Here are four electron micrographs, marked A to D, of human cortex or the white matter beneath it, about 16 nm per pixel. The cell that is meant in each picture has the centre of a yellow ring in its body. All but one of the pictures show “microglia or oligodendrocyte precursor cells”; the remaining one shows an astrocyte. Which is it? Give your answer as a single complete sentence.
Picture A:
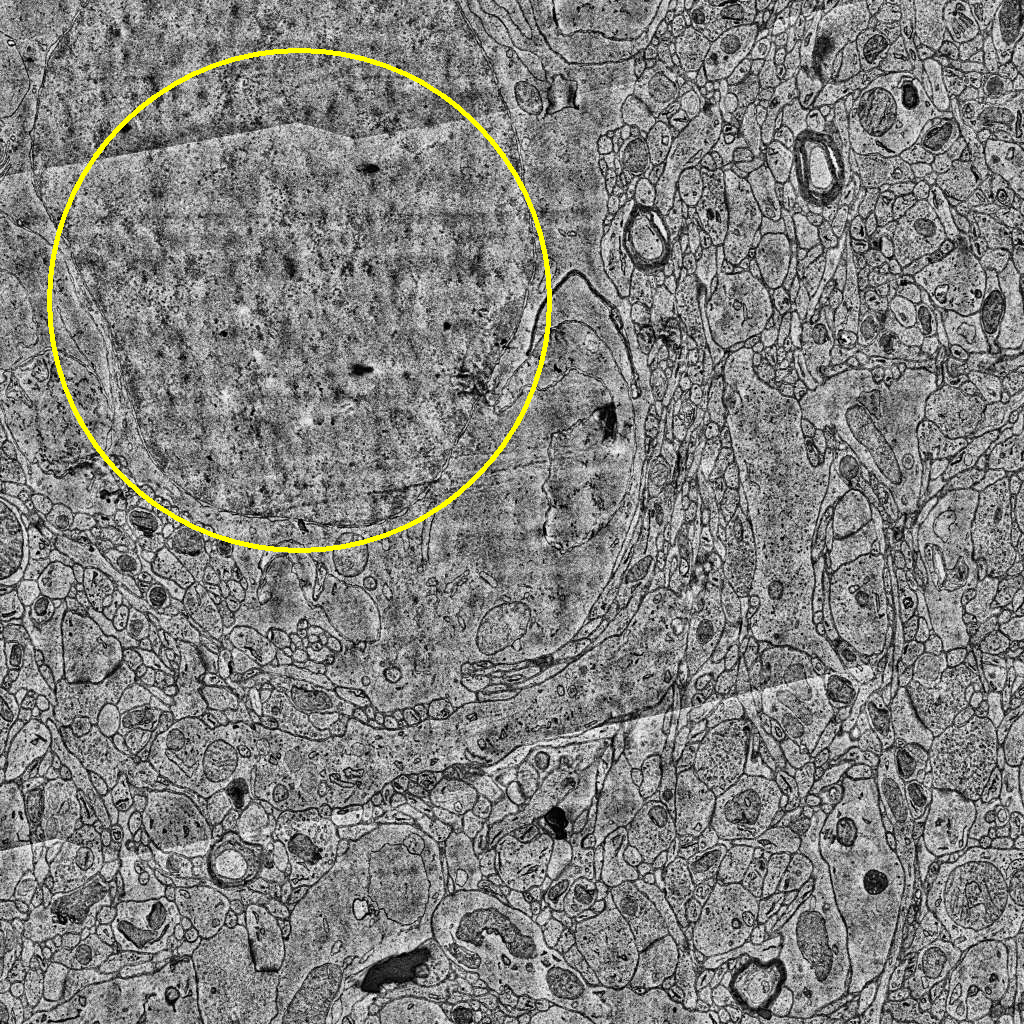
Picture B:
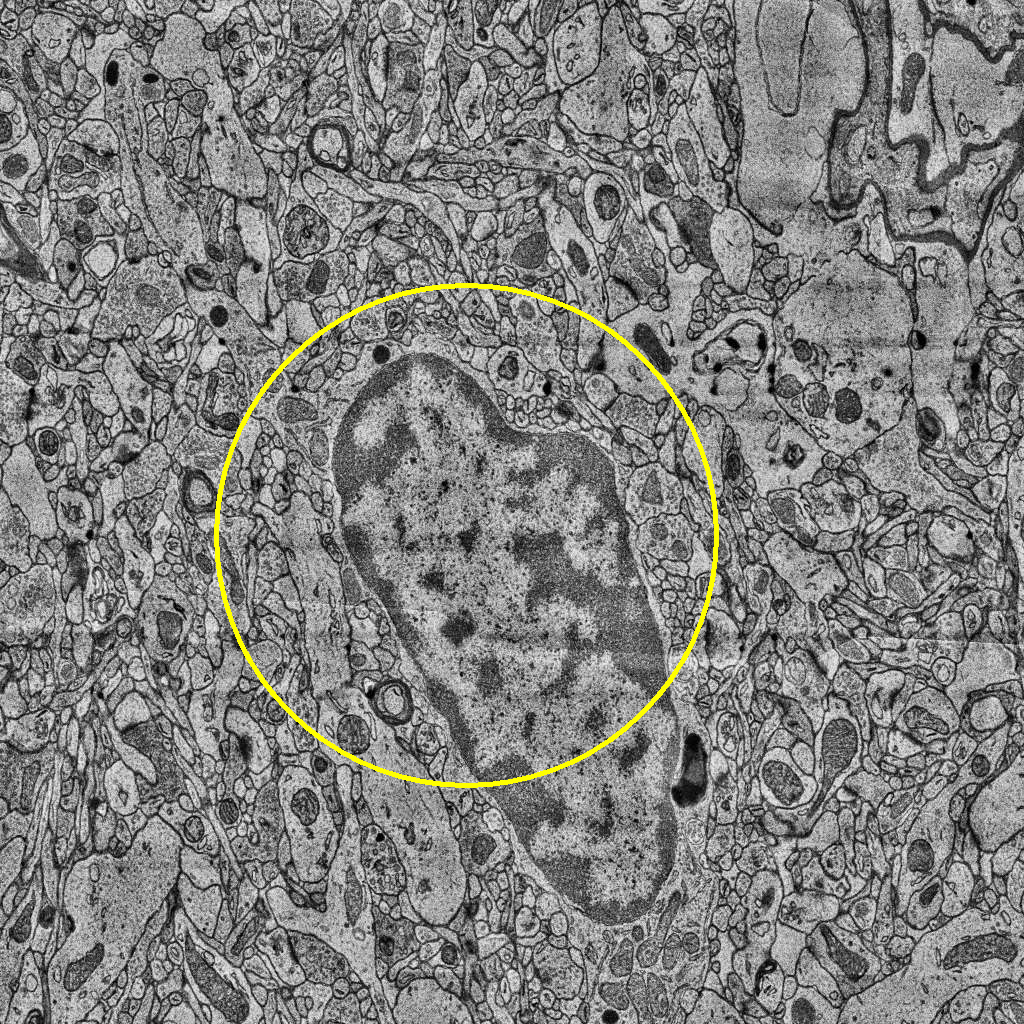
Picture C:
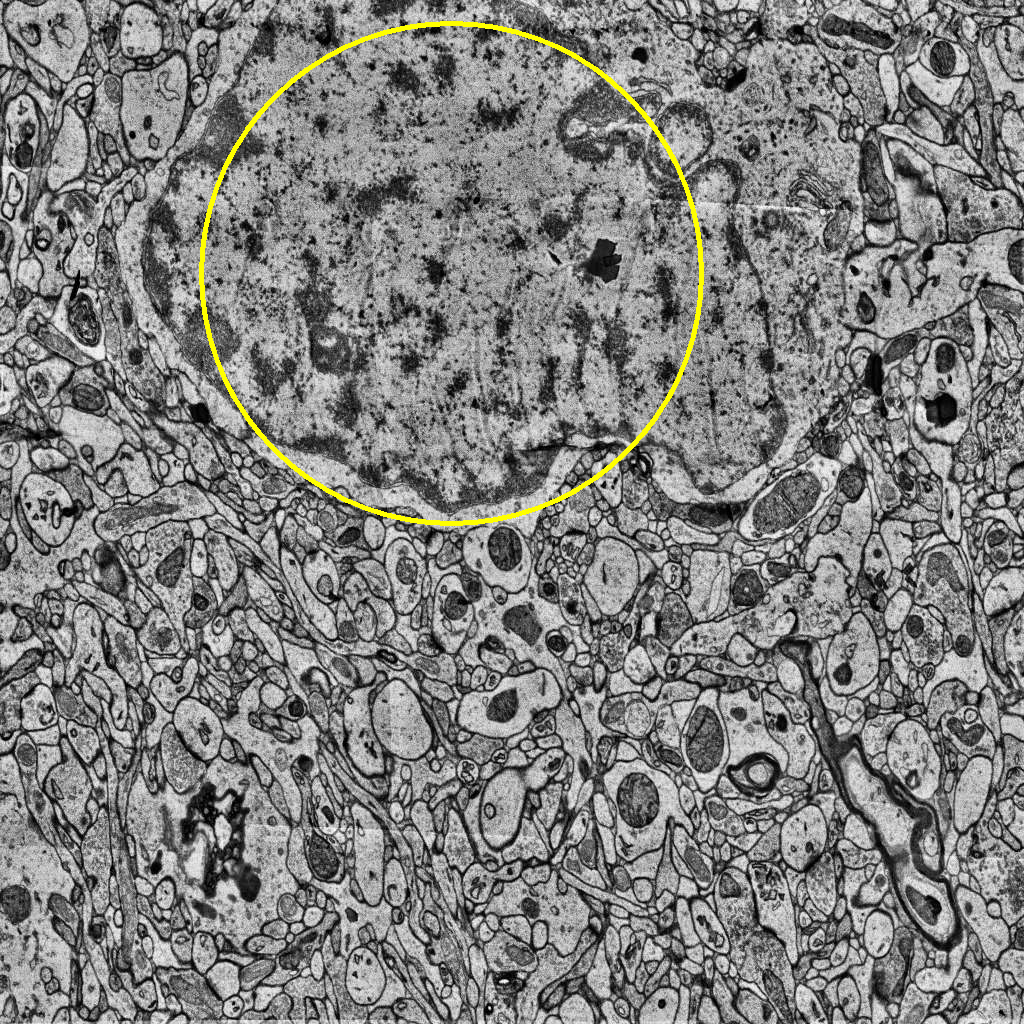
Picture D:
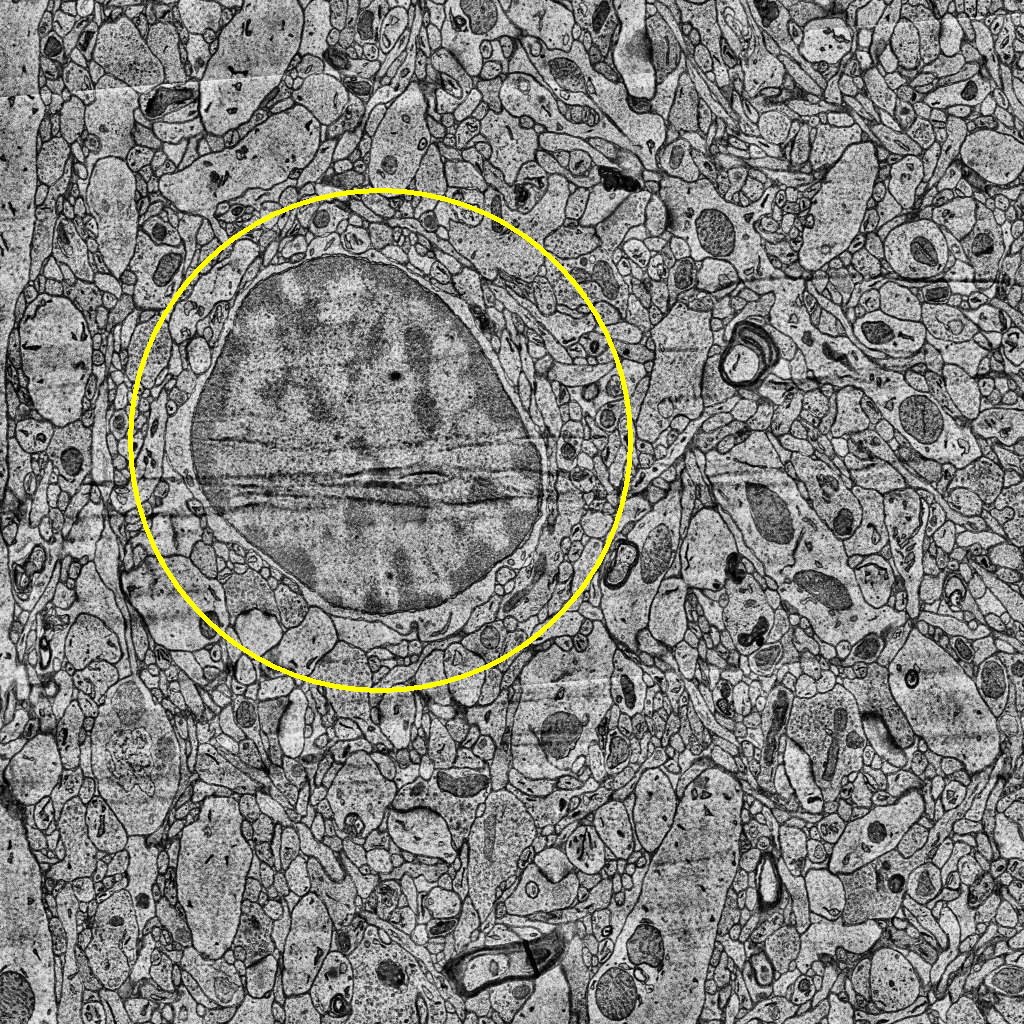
The cell in picture A is the astrocyte.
